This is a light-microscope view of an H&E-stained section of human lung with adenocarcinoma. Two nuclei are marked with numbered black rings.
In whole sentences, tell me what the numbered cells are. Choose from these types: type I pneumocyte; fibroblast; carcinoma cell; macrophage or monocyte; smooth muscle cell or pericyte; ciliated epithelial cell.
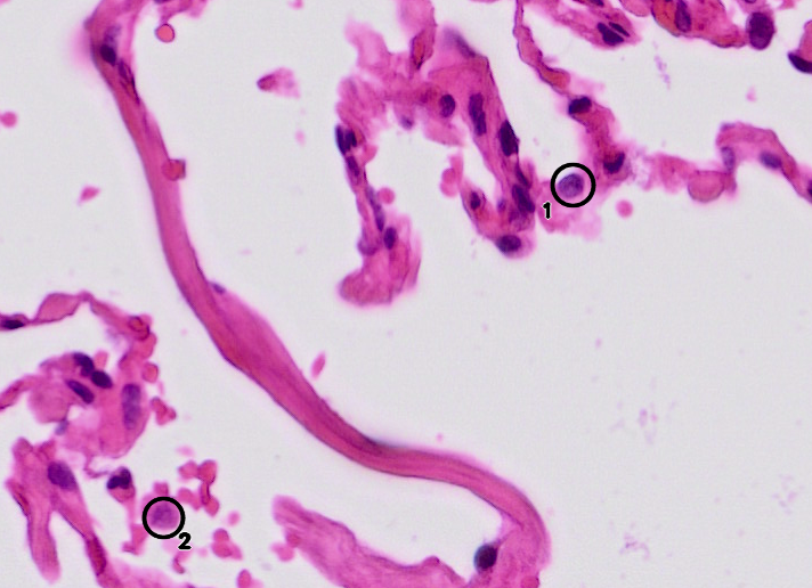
Cell 1 is a type I pneumocyte. Cell 2 is a macrophage or monocyte.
